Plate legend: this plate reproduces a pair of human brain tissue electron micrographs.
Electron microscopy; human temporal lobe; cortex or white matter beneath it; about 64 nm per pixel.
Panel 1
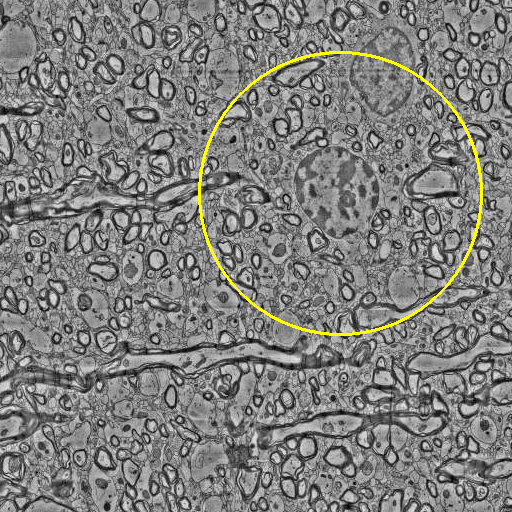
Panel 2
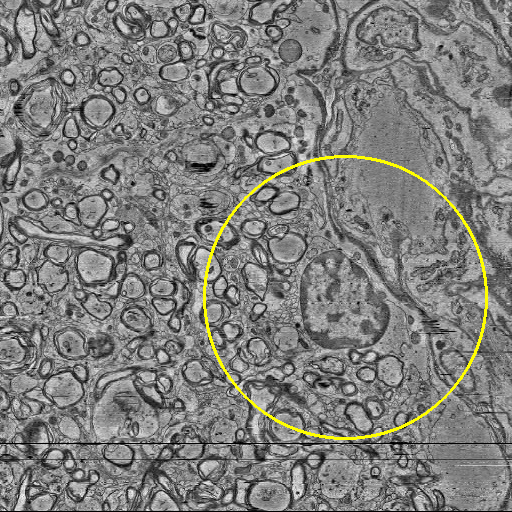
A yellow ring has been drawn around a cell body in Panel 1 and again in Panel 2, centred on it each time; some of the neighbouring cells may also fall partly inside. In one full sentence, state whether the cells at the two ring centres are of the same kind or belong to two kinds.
The ring-centred cells of Panel 1 and Panel 2 are of the same kind.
